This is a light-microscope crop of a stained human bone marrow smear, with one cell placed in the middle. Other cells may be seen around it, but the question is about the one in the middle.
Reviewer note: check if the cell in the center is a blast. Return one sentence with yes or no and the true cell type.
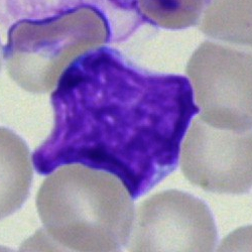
Yes, the cell that the crop is centered on is a blast.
